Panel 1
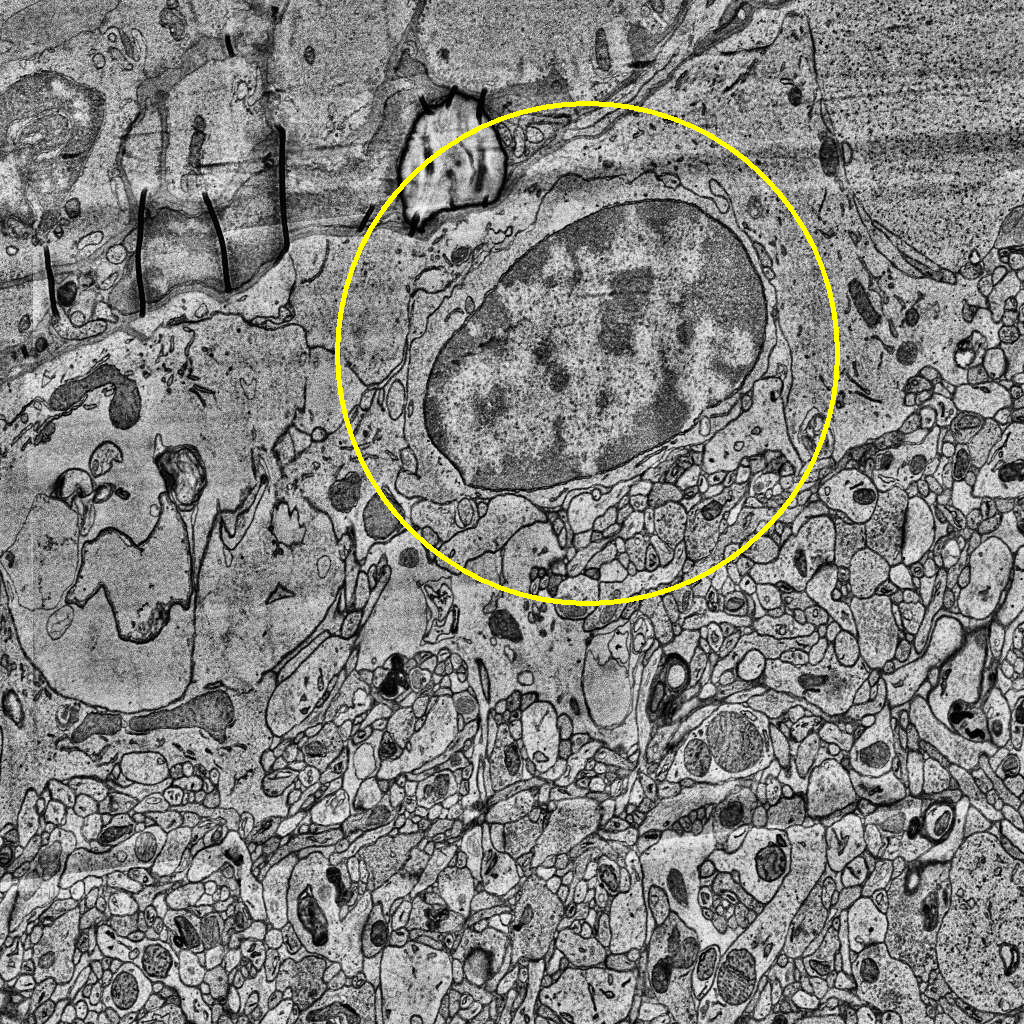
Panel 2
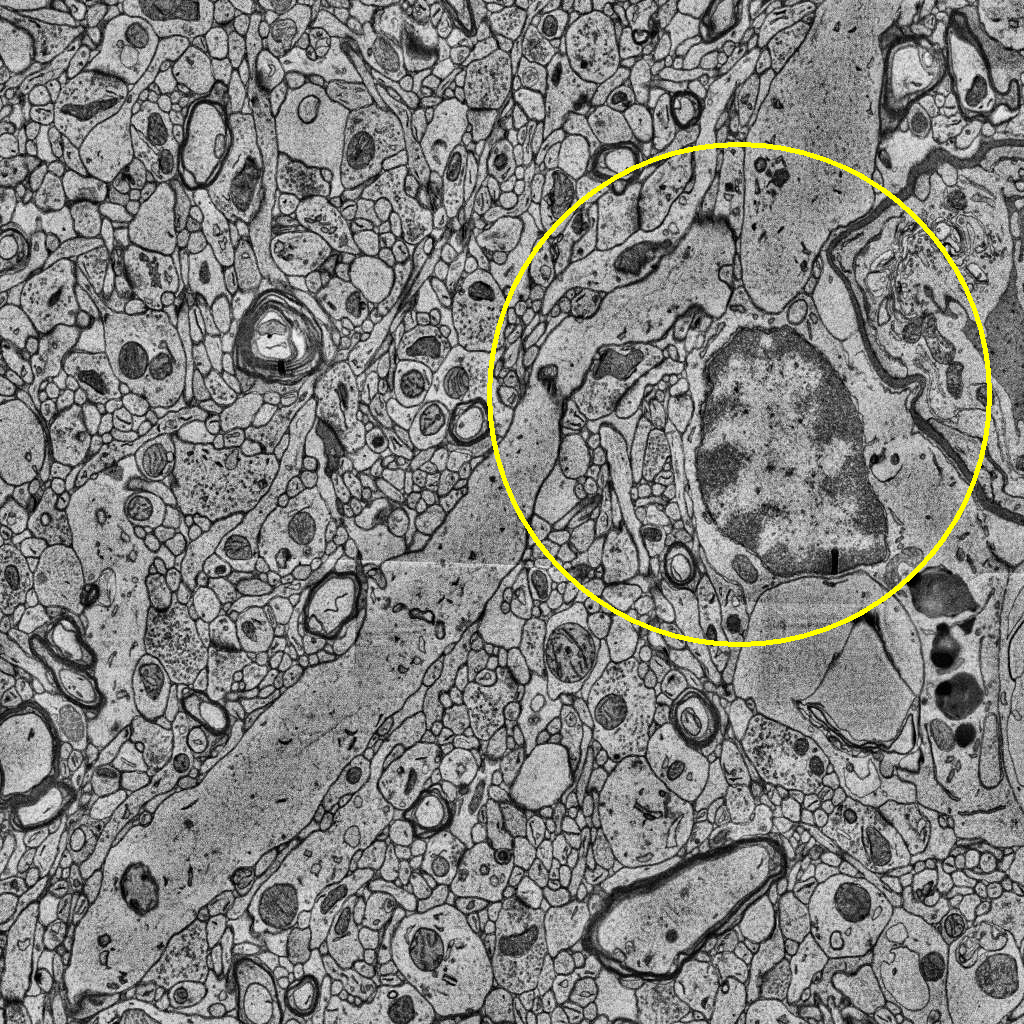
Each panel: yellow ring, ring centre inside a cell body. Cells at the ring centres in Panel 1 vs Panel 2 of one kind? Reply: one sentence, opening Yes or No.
Yes, Panel 1 and Panel 2 have cells of one kind at the ring centres.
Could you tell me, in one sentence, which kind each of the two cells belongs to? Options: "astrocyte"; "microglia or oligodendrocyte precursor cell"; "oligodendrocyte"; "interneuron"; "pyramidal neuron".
Each of the two rings surrounds a microglial cell or oligodendrocyte precursor cell.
